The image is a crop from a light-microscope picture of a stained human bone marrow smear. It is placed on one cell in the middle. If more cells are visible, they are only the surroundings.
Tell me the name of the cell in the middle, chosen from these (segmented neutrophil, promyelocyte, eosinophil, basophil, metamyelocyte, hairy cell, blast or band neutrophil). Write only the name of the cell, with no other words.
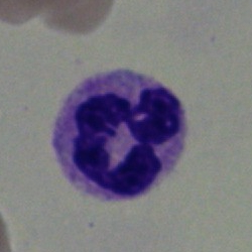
segmented neutrophil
